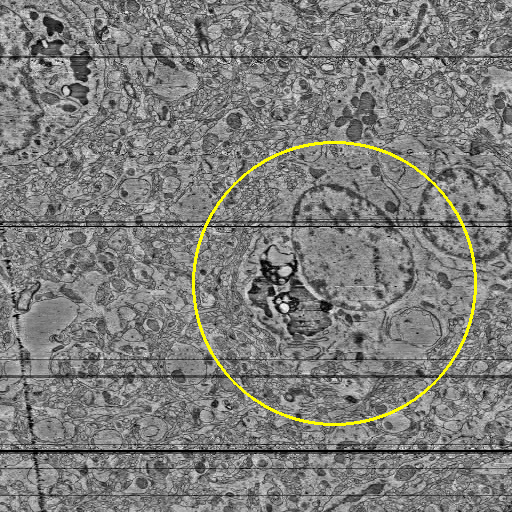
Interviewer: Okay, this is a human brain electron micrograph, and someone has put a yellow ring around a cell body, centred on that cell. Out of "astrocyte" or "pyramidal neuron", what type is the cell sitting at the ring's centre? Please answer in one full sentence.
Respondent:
The cell at the centre of the yellow ring in this picture is an astrocyte.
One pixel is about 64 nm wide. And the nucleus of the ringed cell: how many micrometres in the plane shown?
In this plane the nucleus spans approximately 9 by 7 micrometers.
